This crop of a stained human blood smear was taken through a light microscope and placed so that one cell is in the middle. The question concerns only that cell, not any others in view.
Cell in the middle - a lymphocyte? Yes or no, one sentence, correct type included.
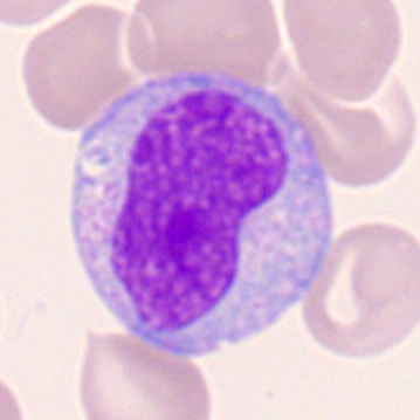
No, looking at the central cell, it is a monocyte rather than a lymphocyte.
